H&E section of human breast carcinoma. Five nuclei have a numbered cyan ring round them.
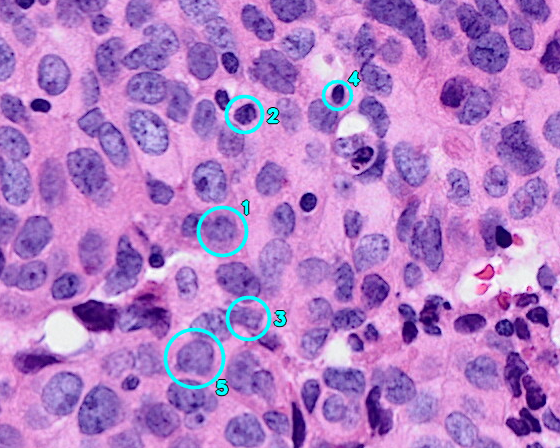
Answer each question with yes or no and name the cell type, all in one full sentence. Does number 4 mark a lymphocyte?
Yes, the cell denoted by 4 is a lymphocyte.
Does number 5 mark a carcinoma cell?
Yes, the cell referred to as number 5 is a carcinoma cell.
